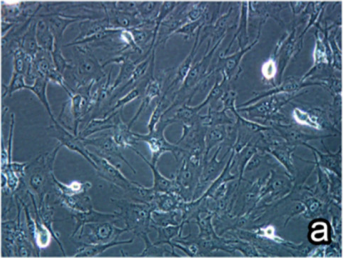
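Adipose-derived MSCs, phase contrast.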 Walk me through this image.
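The cells are flattened and spread on the dish, many spindle-shaped or irregularly polygonal with long tapering processes that touch and overlap those of neighbours, forming a loose network. A few cells are rounded and appear bright and refractile, with a halo, standing out from the flat sheet. Spaces of bare substrate lie between groups of cells, so the culture is not yet fully confluent.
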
